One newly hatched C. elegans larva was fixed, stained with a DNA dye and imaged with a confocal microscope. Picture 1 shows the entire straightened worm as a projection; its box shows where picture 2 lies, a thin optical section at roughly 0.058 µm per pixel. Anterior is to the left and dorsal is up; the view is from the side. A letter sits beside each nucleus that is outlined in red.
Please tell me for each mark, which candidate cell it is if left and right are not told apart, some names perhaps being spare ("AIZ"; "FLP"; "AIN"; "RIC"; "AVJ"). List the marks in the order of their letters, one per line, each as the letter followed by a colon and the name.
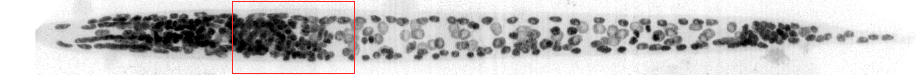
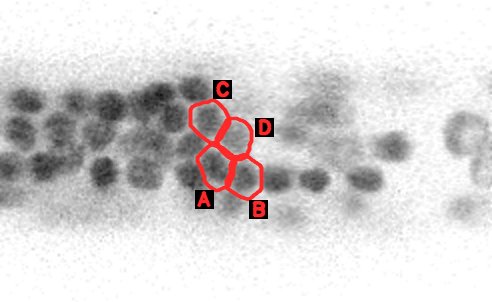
A: AIZ
B: FLP
C: AVJ
D: AIN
